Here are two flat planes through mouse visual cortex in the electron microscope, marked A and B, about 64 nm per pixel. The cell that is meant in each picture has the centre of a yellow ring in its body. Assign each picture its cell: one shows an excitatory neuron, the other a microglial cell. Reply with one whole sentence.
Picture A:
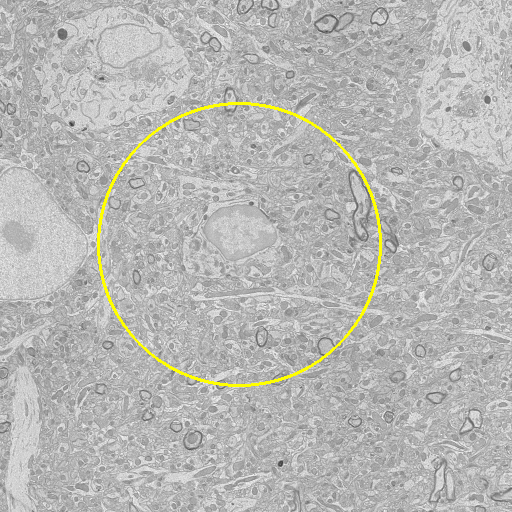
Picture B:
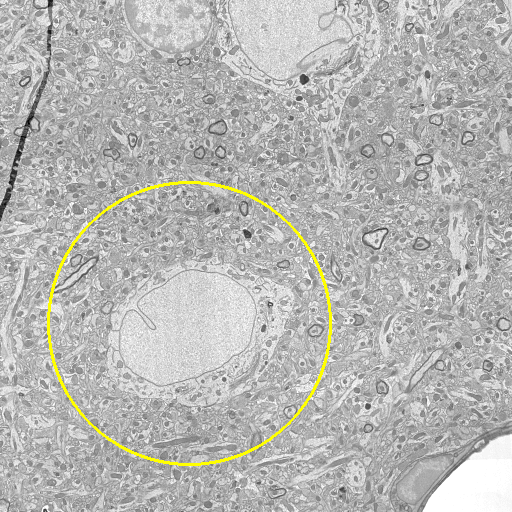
In picture A the cell is a microglial cell; in picture B, an excitatory neuron.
